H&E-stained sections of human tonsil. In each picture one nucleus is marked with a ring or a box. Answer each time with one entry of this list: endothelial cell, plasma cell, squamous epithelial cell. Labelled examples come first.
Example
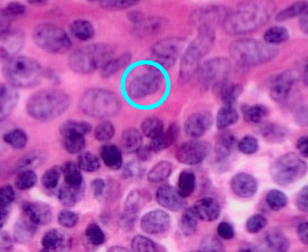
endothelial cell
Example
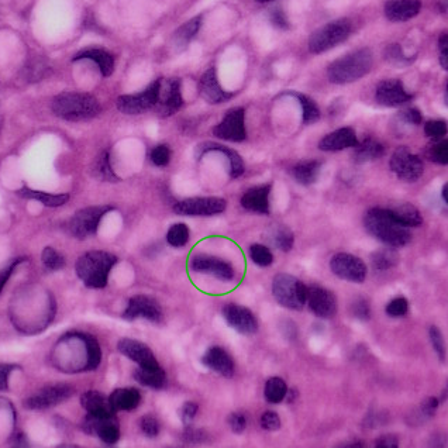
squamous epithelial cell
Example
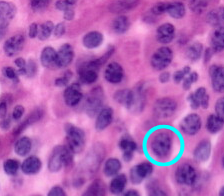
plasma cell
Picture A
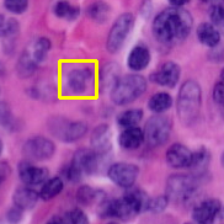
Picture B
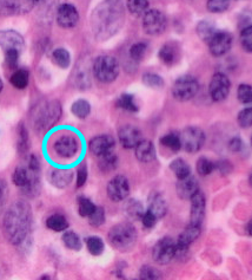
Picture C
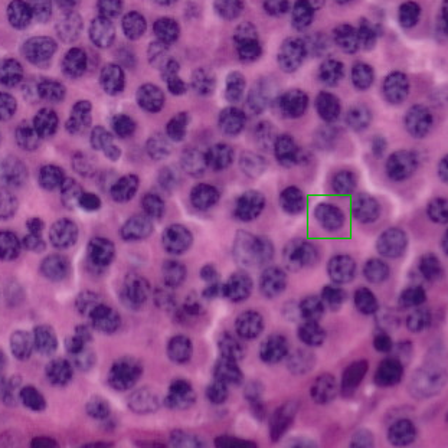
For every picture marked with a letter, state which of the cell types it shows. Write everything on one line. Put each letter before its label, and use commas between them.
A endothelial cell, B plasma cell, C plasma cell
